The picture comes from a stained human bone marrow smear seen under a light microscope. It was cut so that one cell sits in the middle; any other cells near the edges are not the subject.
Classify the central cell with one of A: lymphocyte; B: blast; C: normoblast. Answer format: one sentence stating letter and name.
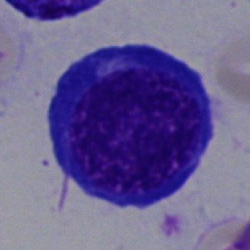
That cell in the center is a normoblast, hence option C.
